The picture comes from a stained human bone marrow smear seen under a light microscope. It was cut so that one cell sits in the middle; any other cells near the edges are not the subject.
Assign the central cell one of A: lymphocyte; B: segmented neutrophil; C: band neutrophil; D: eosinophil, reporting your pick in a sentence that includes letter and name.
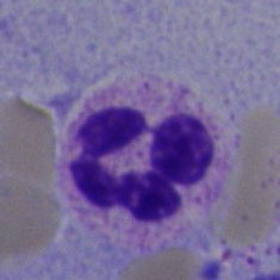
The central cell of the crop is a segmented neutrophil, which makes B the correct option.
